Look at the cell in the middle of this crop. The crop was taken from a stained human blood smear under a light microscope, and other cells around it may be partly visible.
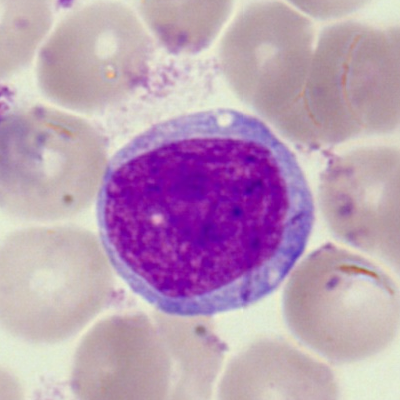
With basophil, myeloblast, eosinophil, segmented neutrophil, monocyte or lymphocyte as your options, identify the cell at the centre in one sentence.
At the center of the crop sits a myeloblast.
